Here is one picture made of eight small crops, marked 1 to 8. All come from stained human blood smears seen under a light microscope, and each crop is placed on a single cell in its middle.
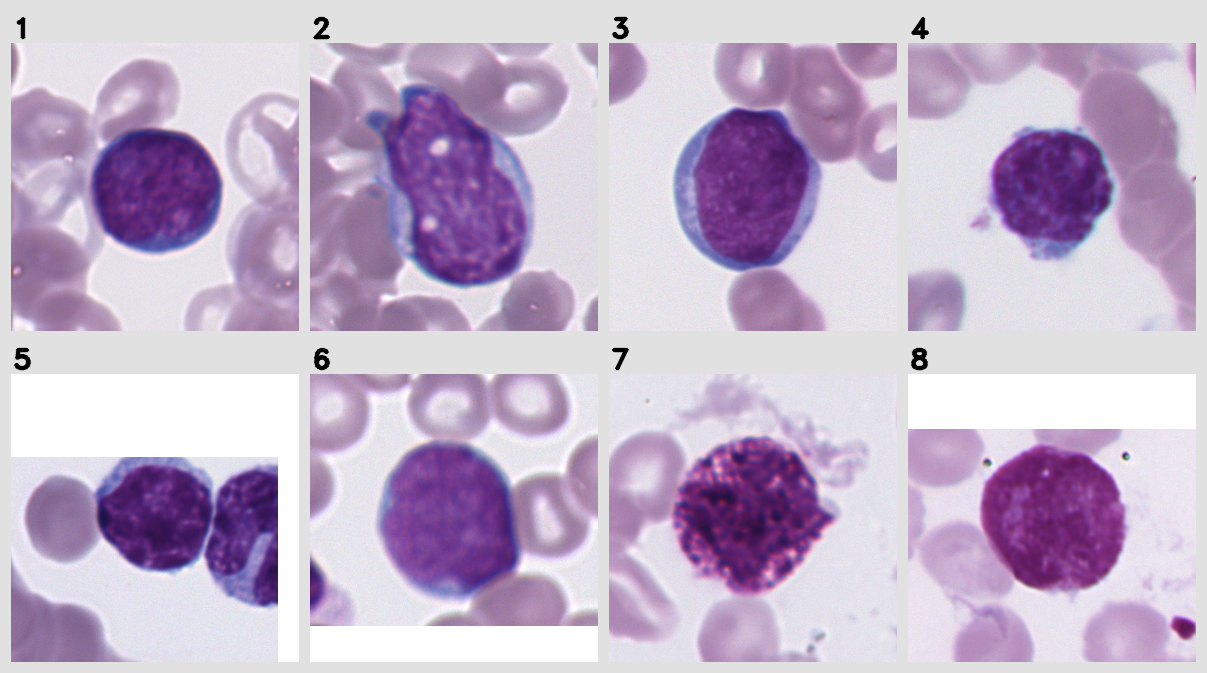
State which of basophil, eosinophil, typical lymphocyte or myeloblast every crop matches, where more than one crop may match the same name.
1: myeloblast
2: myeloblast
3: myeloblast
4: typical lymphocyte
5: typical lymphocyte
6: myeloblast
7: basophil
8: myeloblast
